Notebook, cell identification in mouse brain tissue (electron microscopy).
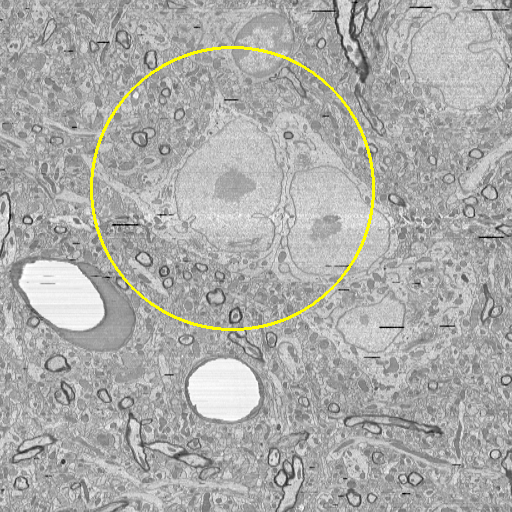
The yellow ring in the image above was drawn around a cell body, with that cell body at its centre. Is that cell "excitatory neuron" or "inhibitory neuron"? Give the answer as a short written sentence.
The cell in the ring is an inhibitory neuron.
